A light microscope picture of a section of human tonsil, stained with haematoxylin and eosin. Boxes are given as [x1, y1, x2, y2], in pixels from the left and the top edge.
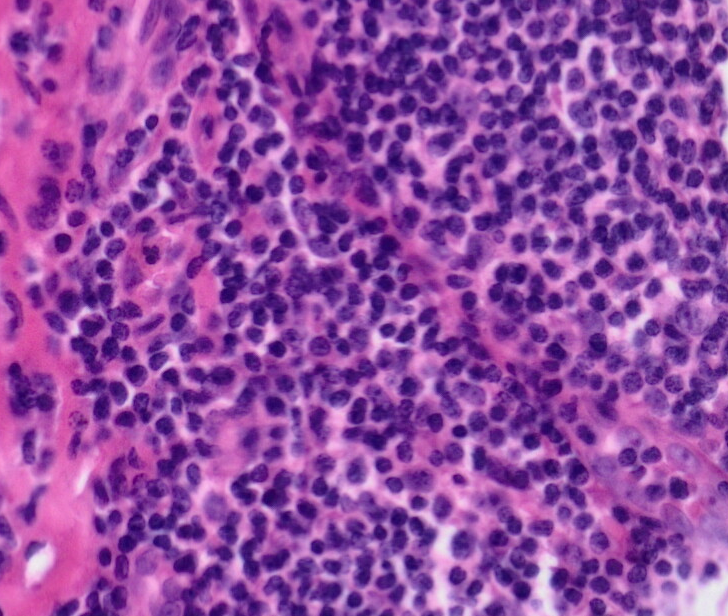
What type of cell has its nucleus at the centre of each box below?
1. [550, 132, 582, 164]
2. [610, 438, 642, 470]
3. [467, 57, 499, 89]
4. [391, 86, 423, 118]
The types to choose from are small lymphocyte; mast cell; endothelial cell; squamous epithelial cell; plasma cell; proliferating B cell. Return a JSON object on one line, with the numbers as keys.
{"1": "small lymphocyte", "2": "endothelial cell", "3": "small lymphocyte", "4": "small lymphocyte"}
